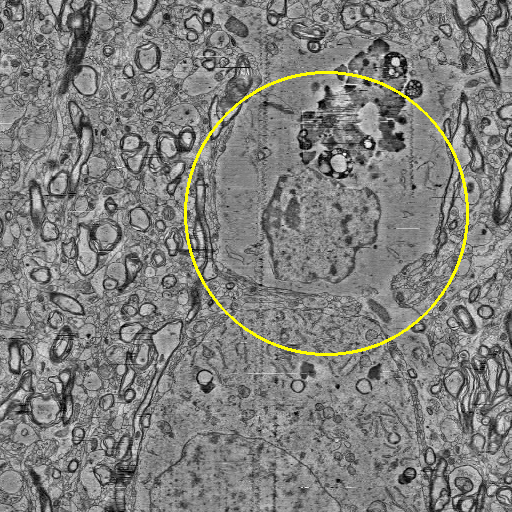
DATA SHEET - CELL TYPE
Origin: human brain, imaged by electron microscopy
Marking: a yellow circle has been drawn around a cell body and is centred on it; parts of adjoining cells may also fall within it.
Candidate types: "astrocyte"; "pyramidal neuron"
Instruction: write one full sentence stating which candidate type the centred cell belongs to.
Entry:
The cell body at the centre of the yellow ring in this micrograph belongs to an astrocyte.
